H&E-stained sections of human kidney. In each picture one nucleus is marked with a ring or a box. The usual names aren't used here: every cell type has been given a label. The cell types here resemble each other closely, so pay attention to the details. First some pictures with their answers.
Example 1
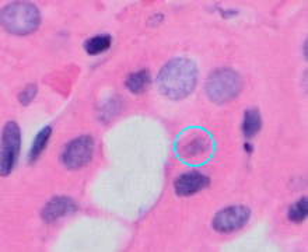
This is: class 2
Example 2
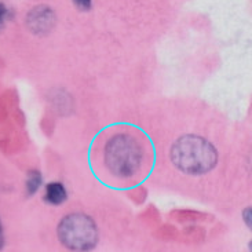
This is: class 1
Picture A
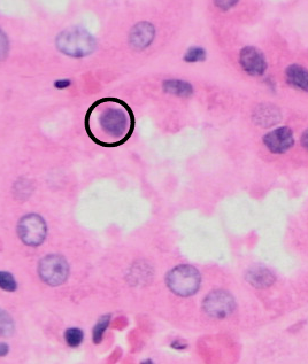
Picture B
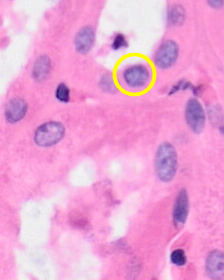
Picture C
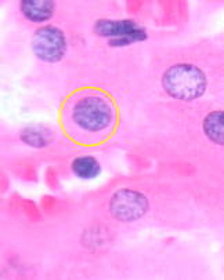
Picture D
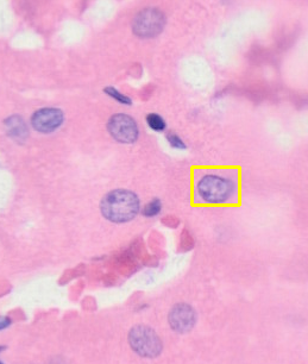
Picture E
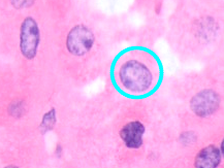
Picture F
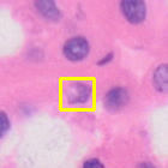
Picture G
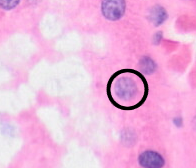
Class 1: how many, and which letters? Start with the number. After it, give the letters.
4: A, D, E, G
